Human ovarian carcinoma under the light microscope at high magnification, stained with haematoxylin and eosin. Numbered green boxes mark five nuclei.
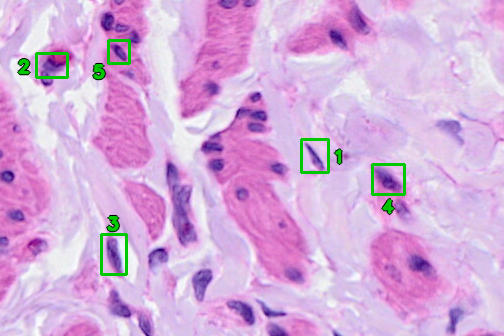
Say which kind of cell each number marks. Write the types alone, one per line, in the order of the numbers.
fibroblast
endothelial cell
fibroblast
smooth muscle cell
smooth muscle cell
